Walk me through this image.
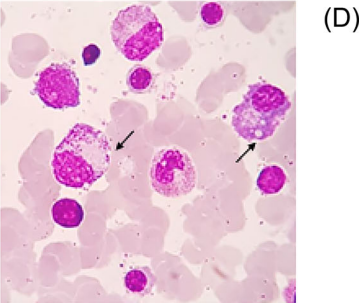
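Bone marrow smear with myeloid precursors and small round dark erythroid cells among red cells. Several large precursors carry purple nuclei with coarse chromatin and pink-purple granular cytoplasm; the arrowed cells show many small clear vacuoles in the cytoplasm. Granules are unevenly spread, clustered in parts of the cytoplasm and sparse in others. One cell has an indented nucleus with pale cytoplasm. Small round cells with dense dark nuclei and scant cytoplasm lie scattered between them. Red cells in the background are pale and crowded.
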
